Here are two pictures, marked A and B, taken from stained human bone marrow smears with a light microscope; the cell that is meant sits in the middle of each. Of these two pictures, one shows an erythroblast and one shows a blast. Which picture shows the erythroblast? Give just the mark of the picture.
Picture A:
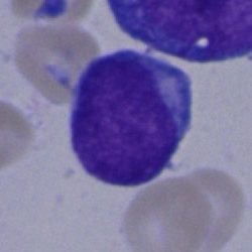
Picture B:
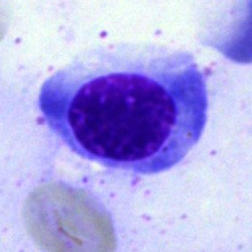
B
